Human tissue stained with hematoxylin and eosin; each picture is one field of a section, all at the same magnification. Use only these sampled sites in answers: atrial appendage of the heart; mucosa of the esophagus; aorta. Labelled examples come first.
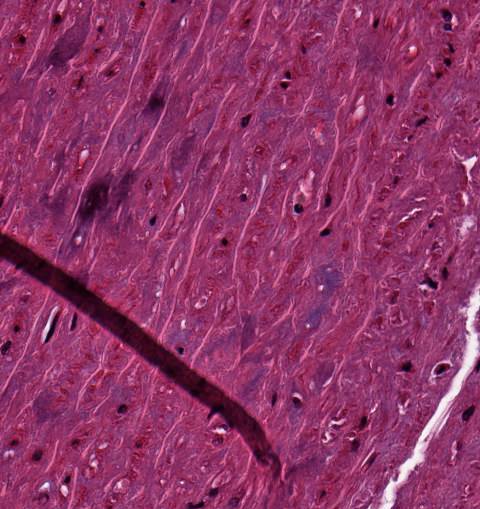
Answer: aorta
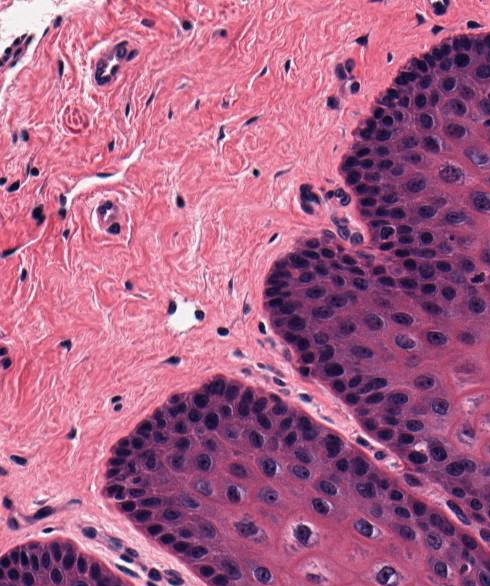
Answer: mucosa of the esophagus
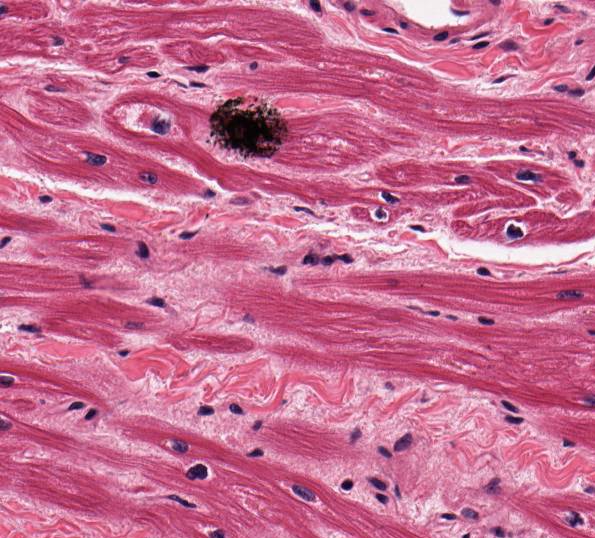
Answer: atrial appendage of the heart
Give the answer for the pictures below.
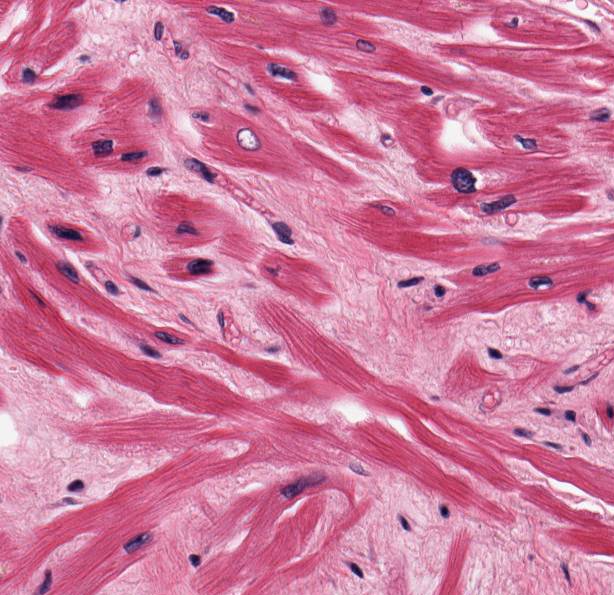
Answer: atrial appendage of the heart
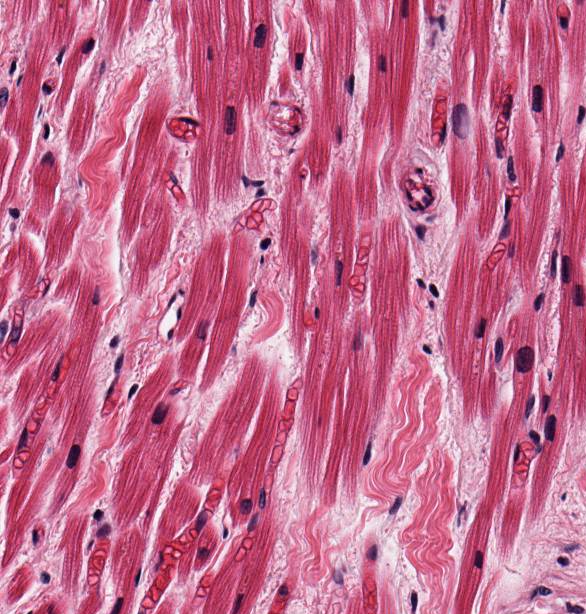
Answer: atrial appendage of the heart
